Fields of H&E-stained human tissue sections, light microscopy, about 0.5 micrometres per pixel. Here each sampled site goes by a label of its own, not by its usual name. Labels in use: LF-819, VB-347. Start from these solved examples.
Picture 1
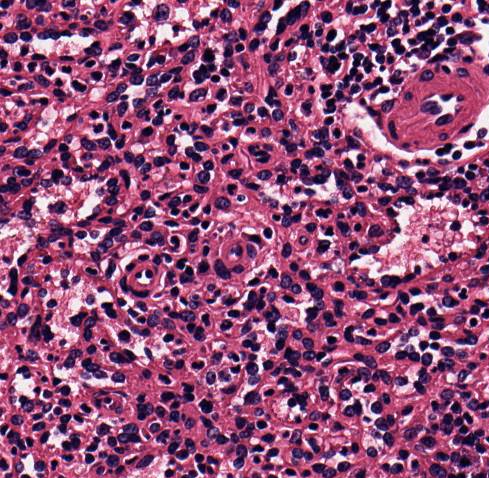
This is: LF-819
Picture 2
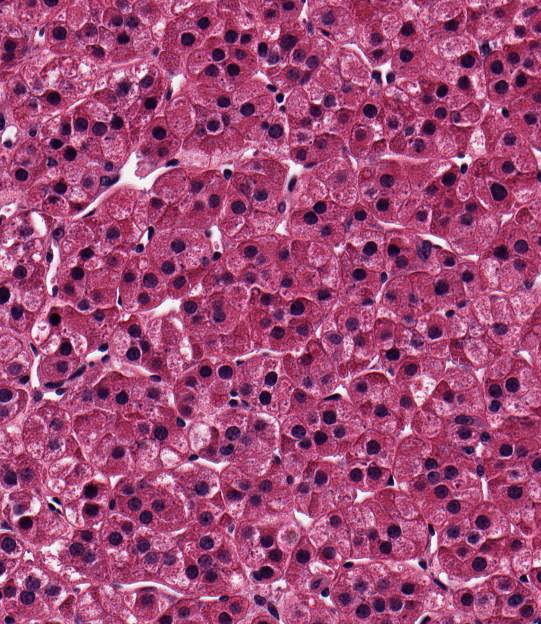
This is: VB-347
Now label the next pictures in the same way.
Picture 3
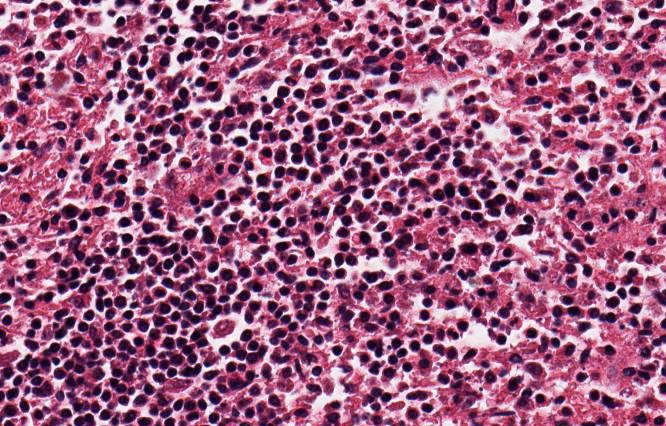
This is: LF-819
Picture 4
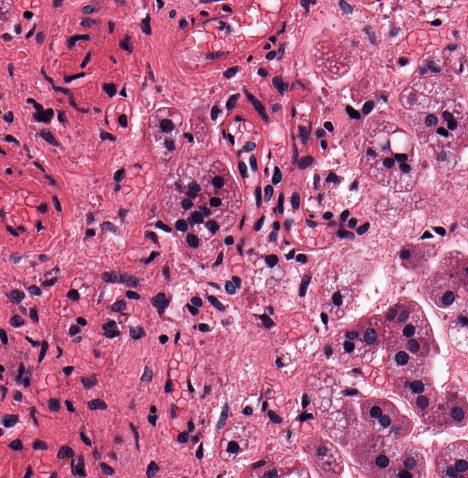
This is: VB-347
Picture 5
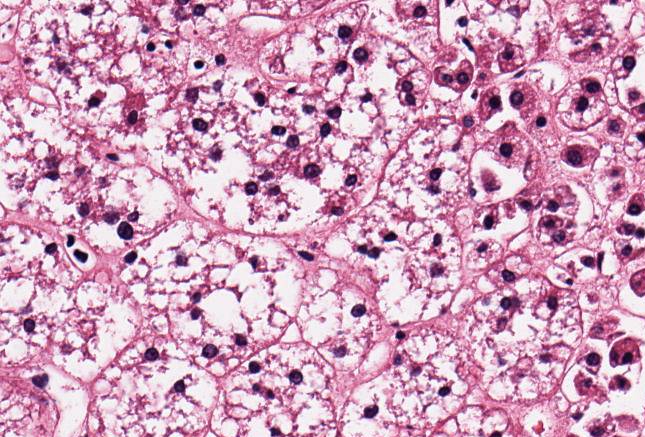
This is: VB-347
